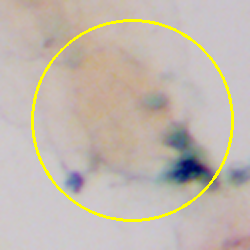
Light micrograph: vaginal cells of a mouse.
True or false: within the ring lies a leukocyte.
False: a cornified epithelial cell lies within the ring.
